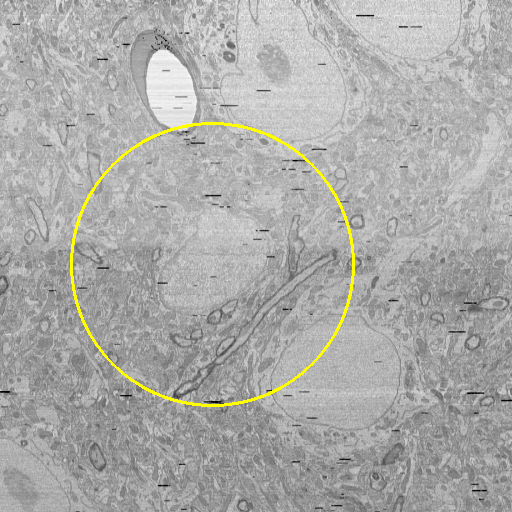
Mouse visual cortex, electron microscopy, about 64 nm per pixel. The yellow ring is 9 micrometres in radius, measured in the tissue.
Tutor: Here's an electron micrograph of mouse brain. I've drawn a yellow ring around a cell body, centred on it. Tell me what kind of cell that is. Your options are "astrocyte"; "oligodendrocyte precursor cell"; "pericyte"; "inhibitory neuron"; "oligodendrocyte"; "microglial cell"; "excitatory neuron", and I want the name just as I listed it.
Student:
astrocyte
